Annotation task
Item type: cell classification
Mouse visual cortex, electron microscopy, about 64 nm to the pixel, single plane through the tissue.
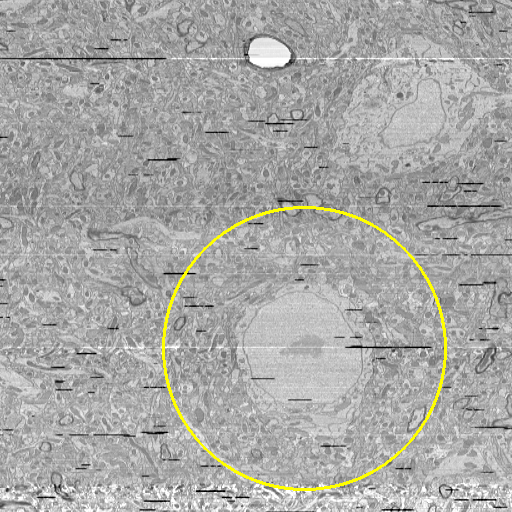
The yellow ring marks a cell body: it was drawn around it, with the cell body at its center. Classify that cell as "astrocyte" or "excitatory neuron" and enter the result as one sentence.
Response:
The ring's center falls on an excitatory neuron.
